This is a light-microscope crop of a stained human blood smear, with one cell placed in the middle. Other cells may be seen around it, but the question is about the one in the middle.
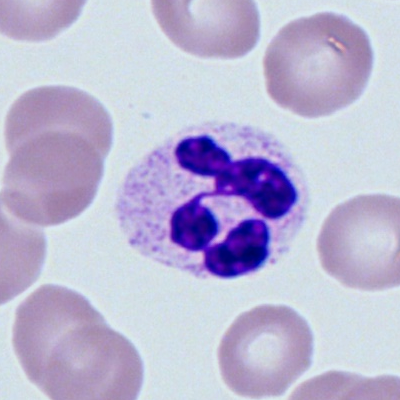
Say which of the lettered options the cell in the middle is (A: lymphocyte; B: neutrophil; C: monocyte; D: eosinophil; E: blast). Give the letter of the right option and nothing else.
B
